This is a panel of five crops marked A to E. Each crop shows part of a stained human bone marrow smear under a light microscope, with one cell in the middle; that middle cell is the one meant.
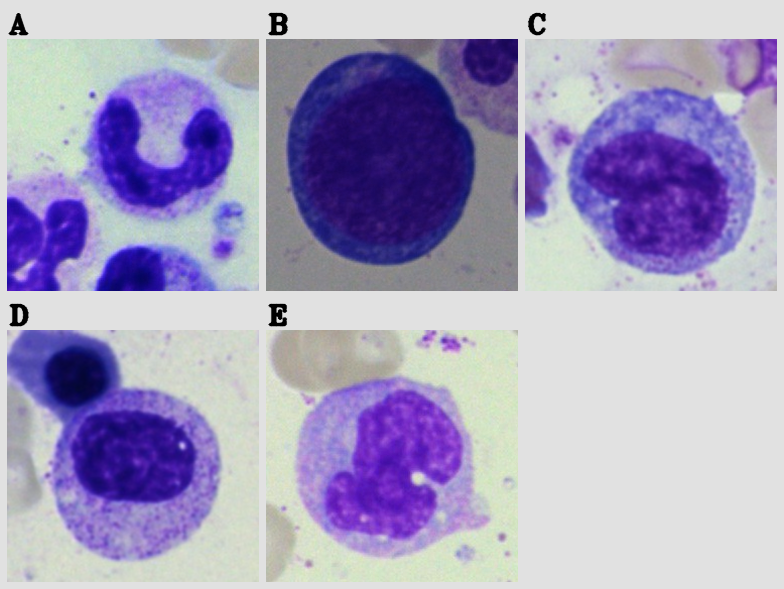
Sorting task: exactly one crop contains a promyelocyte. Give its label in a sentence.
In this series, a promyelocyte is shown by crop C.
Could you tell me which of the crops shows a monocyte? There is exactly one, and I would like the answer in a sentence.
Crop E represents a monocyte, while the other crops do not.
